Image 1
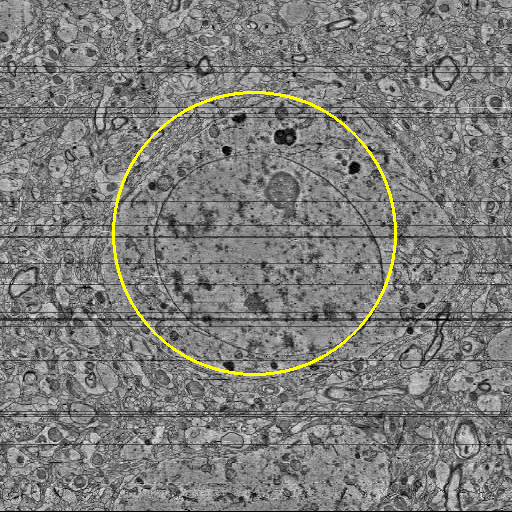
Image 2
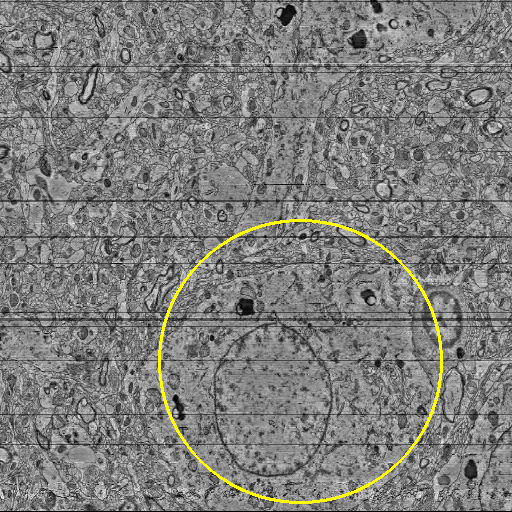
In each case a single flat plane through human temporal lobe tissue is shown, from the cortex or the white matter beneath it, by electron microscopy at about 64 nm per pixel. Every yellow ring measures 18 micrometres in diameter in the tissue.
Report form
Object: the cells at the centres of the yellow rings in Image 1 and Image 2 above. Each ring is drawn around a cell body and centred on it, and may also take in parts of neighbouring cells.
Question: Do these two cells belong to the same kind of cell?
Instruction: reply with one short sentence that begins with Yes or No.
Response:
Yes, both belong to the same kind of cell.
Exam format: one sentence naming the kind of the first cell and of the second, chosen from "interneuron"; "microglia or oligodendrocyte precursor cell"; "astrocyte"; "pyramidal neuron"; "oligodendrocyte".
In each picture the ringed cell is a pyramidal neuron.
